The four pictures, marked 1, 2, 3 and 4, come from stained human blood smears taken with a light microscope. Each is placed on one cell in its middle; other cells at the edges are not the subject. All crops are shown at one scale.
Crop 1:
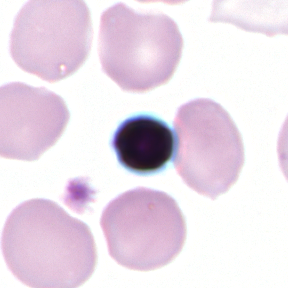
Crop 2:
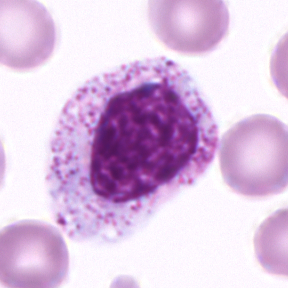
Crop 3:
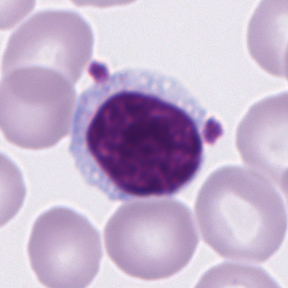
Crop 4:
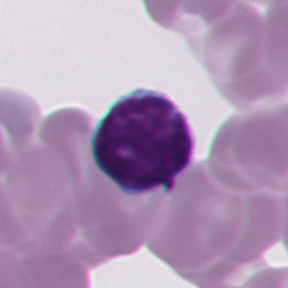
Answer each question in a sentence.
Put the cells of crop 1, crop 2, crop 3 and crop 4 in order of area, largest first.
Going down, they run 2, 3, 4, 1.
